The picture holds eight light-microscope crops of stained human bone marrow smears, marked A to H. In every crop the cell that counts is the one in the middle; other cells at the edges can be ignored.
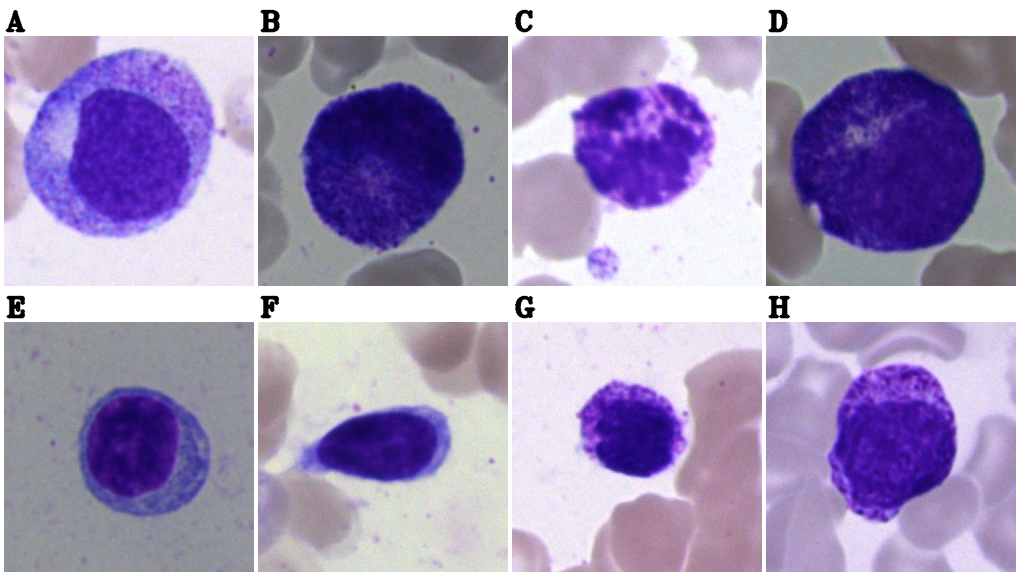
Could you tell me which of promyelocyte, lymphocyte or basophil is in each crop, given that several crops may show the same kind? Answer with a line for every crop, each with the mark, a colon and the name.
A: promyelocyte
B: promyelocyte
C: basophil
D: promyelocyte
E: lymphocyte
F: lymphocyte
G: basophil
H: basophil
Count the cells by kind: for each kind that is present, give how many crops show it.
promyelocyte: 3
basophil: 3
lymphocyte: 2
